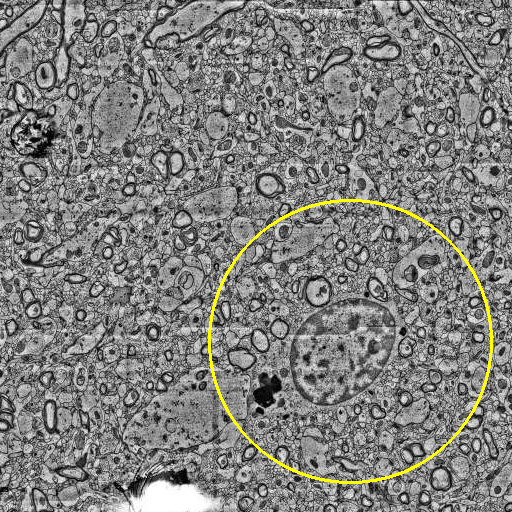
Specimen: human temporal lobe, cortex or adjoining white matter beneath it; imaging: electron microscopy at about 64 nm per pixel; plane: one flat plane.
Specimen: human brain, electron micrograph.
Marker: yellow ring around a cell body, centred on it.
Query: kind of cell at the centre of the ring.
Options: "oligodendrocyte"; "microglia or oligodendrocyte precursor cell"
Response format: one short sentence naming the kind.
This cell body belongs to an oligodendrocyte.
